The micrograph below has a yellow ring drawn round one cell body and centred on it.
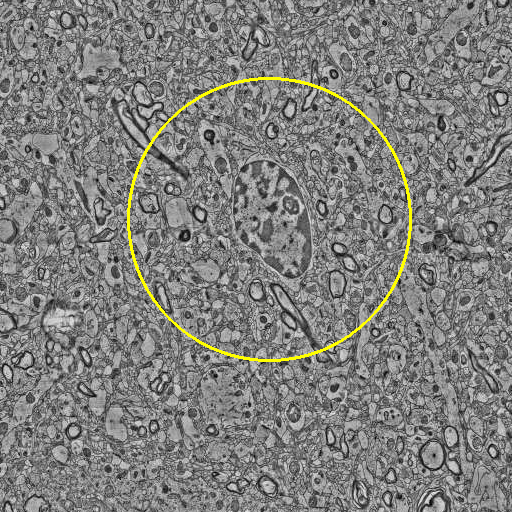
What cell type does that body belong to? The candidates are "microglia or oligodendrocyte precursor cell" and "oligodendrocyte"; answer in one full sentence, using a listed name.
This is a microglial cell or oligodendrocyte precursor cell, the cell whose body lies at the centre of the ring.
